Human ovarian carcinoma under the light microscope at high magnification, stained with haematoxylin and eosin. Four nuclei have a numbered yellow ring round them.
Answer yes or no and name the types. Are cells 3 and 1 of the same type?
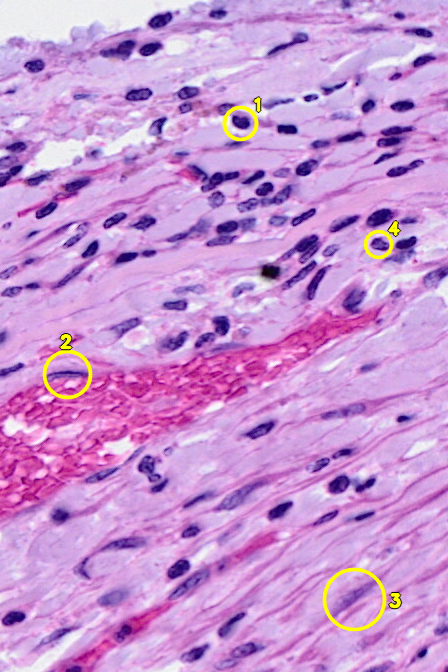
No, cell 3 is a fibroblast and cell 1 is a lymphocyte.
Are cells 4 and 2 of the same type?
No, cell 4 is a lymphocyte and cell 2 is an endothelial cell.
